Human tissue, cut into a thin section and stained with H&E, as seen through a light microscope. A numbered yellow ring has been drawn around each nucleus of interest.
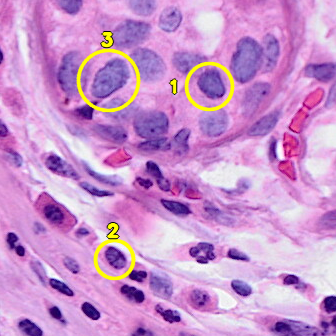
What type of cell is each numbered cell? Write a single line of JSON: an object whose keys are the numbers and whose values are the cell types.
{"1": "carcinoma cell", "2": "mast cell", "3": "carcinoma cell"}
